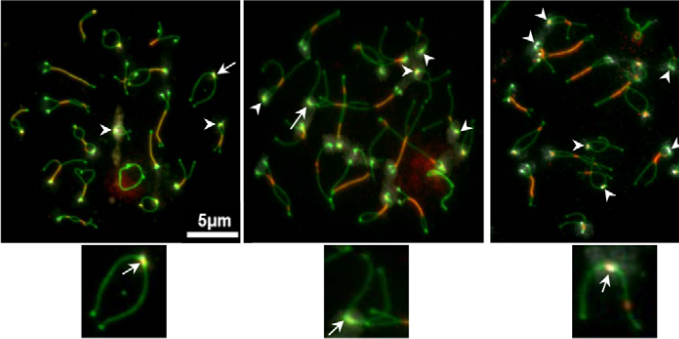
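Most axes occur as pairs of homologous chromosomes that have largely separated along their length but stay joined at one or a few points, giving loops, crosses and open forked shapes. Short red stretches remain along parts of some pairs. Bright grey-white spots sit at one end of many axes, and in many pairs the two ends meet at a single shared bright spot. Some pairs are held together only by a single contact point, which the enlarged insets beneath each image show more closely.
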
